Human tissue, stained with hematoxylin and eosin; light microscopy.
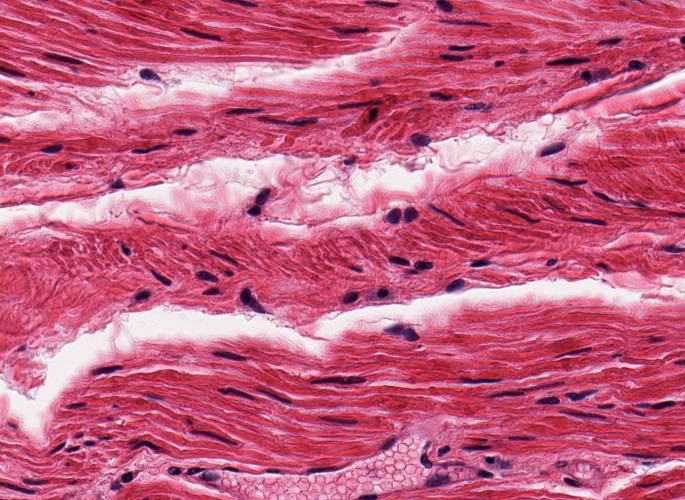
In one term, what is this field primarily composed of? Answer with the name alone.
fibromuscular stroma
